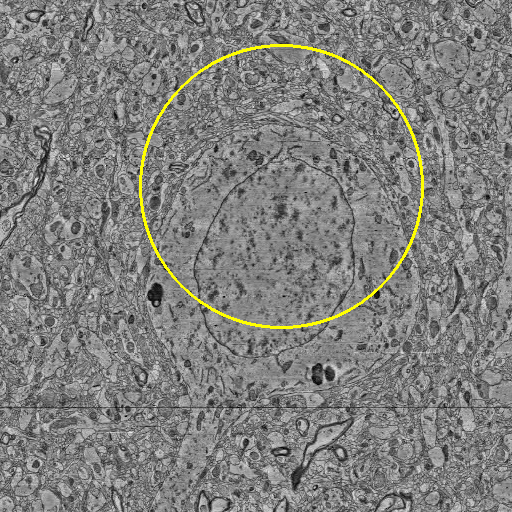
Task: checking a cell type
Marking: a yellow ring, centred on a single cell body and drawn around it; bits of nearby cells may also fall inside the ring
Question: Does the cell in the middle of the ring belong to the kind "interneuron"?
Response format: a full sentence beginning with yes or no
No, the cell marked at the ring's centre in the picture is of a different kind.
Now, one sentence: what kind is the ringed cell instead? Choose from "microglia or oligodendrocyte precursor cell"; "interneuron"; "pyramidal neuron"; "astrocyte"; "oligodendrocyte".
The cell at the middle of the ring is a pyramidal neuron.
